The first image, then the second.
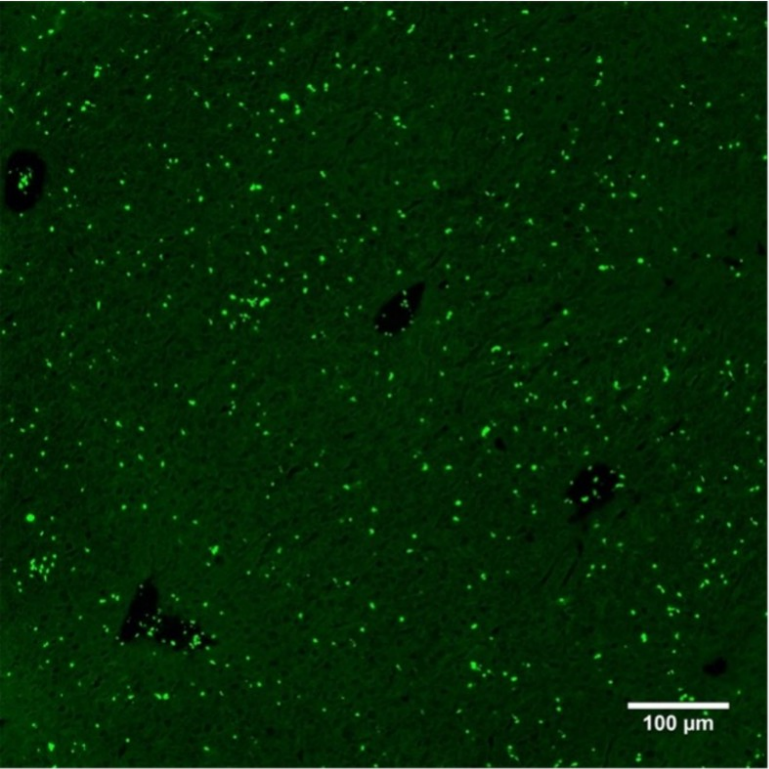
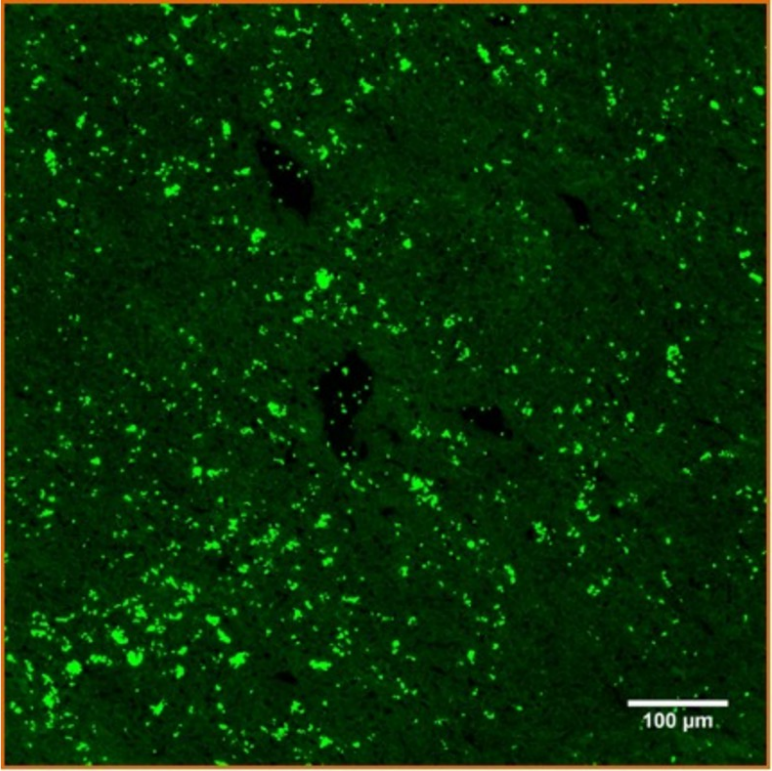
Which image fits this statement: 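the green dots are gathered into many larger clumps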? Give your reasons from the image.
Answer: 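Second image: numerous bright green dots, many merged into irregular clumps. On this evidence: the second image.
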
